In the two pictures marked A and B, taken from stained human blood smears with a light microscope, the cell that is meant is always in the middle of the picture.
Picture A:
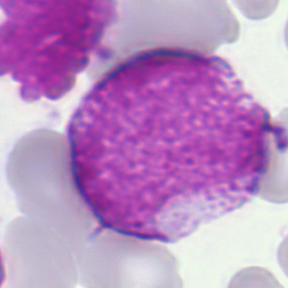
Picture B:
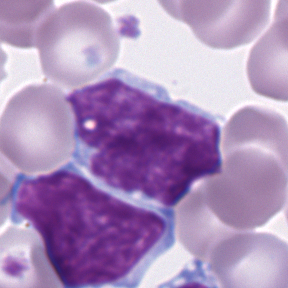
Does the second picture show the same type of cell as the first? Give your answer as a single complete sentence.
No, picture A shows a promyelocyte and picture B shows a typical lymphocyte.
